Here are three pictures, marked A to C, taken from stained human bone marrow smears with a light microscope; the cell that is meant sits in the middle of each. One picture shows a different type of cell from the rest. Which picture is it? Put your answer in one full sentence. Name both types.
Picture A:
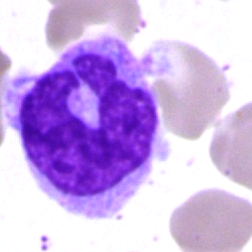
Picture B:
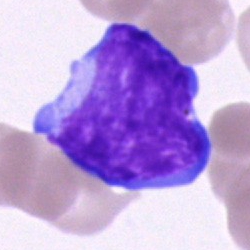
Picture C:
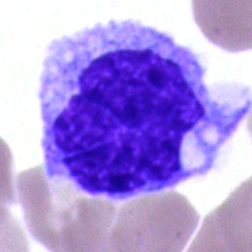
Picture B is the odd one out: it shows a blast, while the others show monocytes.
